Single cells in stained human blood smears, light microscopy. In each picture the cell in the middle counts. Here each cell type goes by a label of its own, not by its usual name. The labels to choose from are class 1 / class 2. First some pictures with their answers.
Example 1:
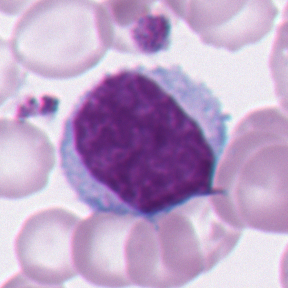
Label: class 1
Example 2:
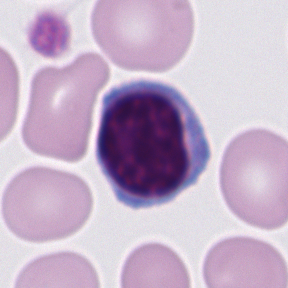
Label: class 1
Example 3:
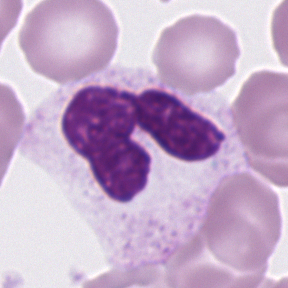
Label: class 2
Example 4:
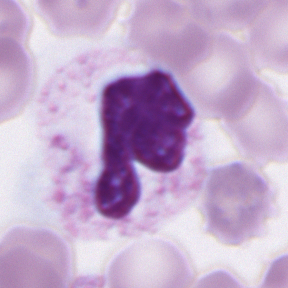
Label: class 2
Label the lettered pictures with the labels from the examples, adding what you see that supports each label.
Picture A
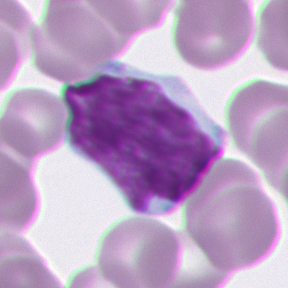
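Label: class 1. The nucleus is a single unlobed mass that fills most of the cell.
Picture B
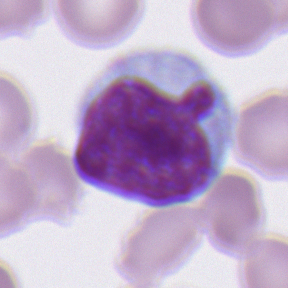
Label: class 1. The nucleus fills most of the cell.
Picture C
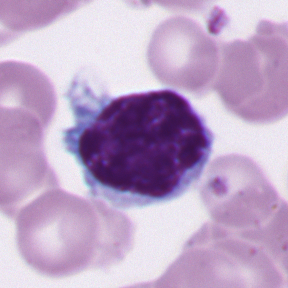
Label: class 1. The cytoplasm forms a narrow rim that is widest on the left side.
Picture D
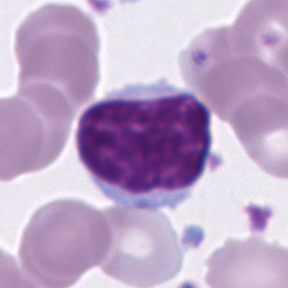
Label: class 1. The cytoplasm is a pale blue rim.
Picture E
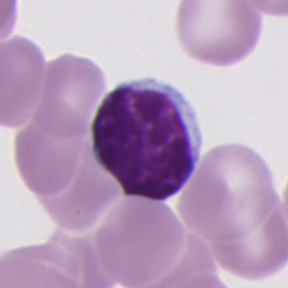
Label: class 1. The cytoplasm forms a thin crescent mainly along the upper right side.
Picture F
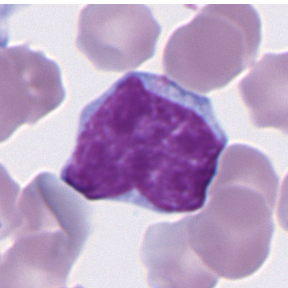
Label: class 1. The nucleus fills almost the whole cell.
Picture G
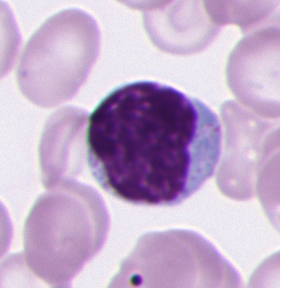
Label: class 1. The cytoplasm forms a narrow rim that is widest on the right side of the cell.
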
